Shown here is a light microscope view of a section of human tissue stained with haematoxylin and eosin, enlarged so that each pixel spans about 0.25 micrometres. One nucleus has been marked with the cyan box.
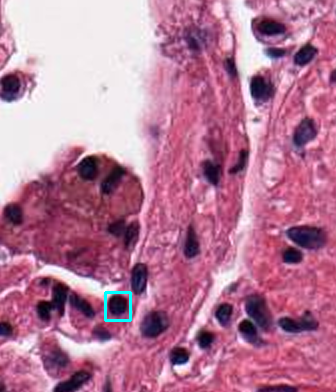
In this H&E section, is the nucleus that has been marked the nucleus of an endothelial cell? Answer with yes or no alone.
no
